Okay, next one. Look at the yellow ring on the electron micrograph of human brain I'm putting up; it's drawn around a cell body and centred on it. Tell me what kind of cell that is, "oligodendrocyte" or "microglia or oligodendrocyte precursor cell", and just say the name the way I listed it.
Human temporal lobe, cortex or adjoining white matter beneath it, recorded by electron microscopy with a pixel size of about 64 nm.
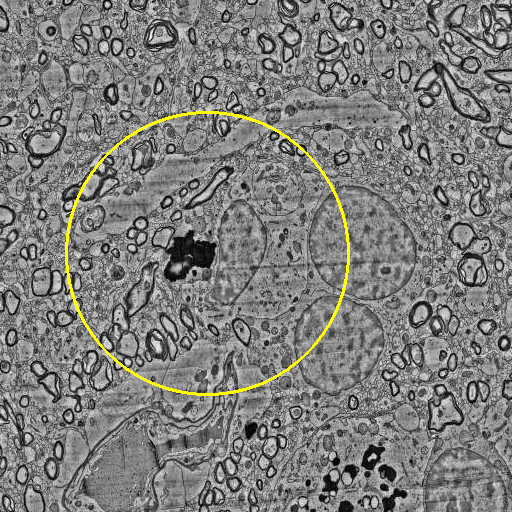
microglia or oligodendrocyte precursor cell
